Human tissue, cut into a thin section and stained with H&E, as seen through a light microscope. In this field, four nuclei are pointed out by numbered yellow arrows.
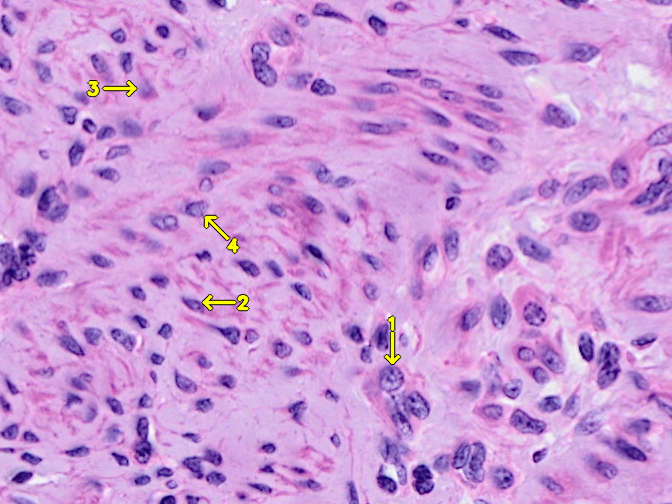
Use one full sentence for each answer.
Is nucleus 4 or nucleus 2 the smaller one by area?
It is nucleus 2; nucleus 4 has about 1.5 times its area.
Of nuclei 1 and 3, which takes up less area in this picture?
Number 3 is smaller, since number 1 takes up about 2.5 times as much area.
